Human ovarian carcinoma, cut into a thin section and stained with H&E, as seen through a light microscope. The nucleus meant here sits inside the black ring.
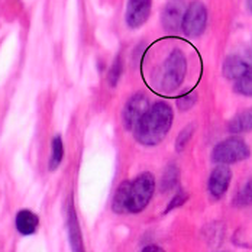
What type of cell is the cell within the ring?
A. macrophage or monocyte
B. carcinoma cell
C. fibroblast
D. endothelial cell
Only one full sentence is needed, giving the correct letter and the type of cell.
Option B wins here: the cell within the ring is a carcinoma cell.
